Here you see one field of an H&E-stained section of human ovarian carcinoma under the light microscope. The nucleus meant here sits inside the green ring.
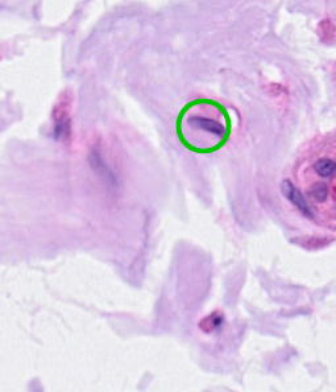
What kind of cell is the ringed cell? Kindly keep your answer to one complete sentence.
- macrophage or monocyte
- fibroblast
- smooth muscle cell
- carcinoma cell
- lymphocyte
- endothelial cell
The classification of the ringed cell is as an endothelial cell.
